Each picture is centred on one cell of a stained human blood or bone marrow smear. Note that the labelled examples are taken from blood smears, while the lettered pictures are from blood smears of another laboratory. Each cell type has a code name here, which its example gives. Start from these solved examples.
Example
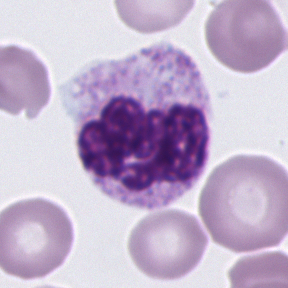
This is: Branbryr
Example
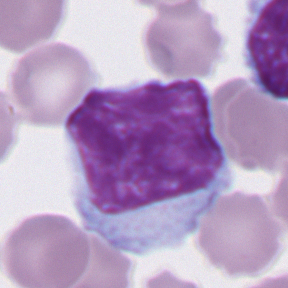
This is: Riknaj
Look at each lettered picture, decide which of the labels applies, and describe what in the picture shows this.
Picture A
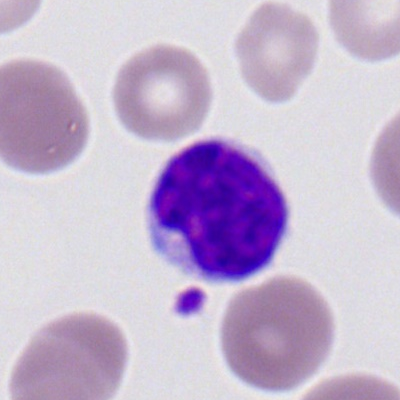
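Label: Riknaj. The nucleus fills most of the cell.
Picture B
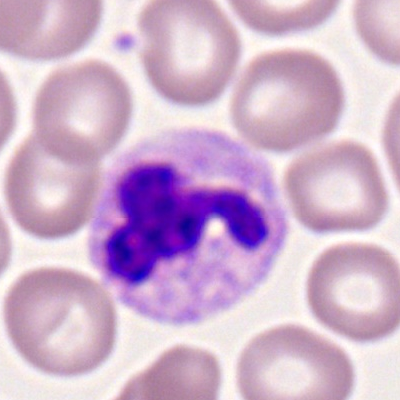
Label: Branbryr. The nucleus is divided into several connected lobes.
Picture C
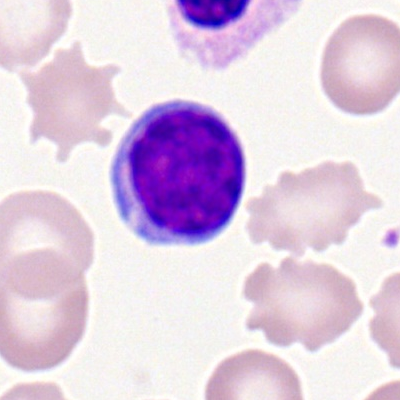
Label: Riknaj. The nucleus fills most of the cell.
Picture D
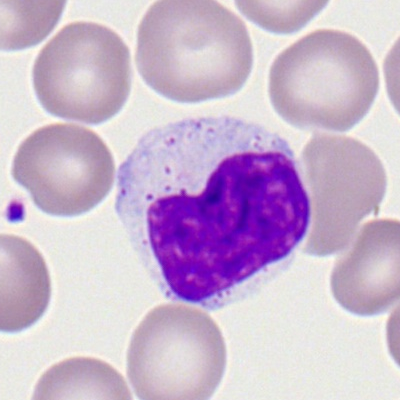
Label: Riknaj. The nucleus has a single notch on its upper side, giving it a bean-like shape.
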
